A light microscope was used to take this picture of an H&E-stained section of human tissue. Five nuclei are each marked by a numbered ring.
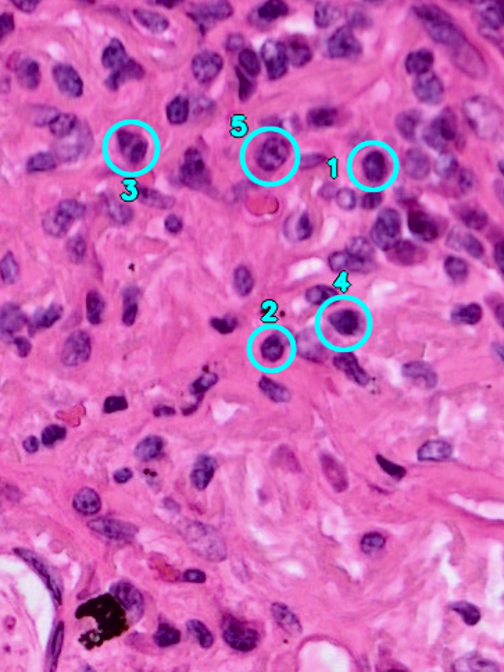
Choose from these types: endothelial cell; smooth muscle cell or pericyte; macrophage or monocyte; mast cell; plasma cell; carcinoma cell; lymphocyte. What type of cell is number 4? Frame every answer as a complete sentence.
As for number 4, that cell is a lymphocyte.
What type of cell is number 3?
The cell carrying label 3 is identified as a plasma cell.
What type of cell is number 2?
The mark numbered 2 indicates the nucleus of a lymphocyte.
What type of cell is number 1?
The cell pointed out by number 1 is a lymphocyte.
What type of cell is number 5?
Cell 5 in the field is a plasma cell.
